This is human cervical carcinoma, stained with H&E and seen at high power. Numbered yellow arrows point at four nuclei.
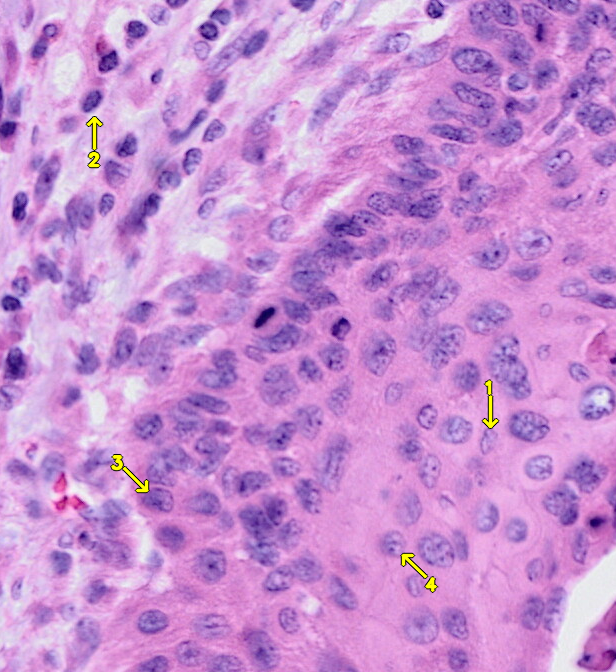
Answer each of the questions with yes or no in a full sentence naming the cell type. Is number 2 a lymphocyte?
Yes, as for number 2, the cell is a lymphocyte.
